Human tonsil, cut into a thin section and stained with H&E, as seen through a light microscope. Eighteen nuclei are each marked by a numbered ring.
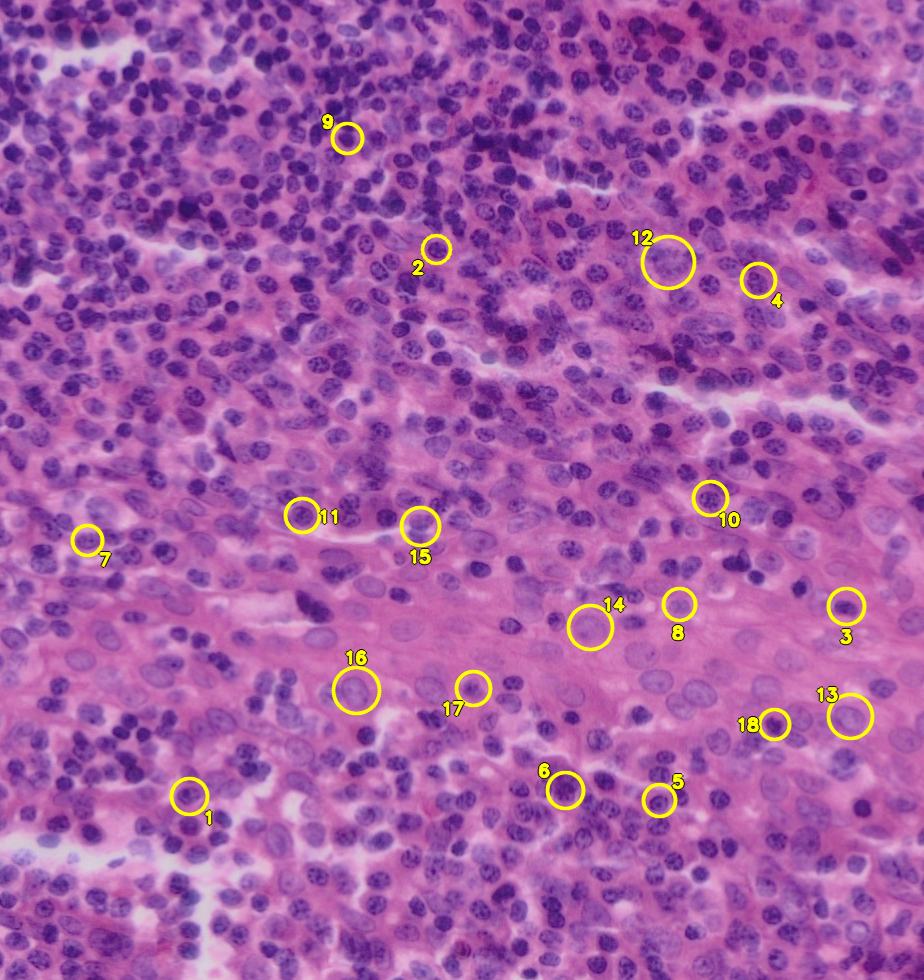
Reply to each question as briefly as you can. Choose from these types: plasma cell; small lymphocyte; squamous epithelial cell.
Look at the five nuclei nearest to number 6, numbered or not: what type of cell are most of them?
plasma cell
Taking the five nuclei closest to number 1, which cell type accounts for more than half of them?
squamous epithelial cell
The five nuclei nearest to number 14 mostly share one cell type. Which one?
squamous epithelial cell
